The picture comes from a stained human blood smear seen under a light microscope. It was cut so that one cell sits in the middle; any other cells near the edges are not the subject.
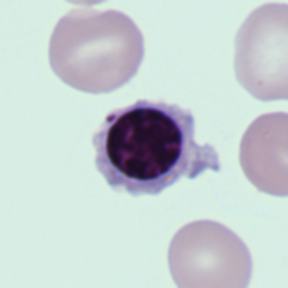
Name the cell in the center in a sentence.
The cell featured at the centre of this crop is an erythroblast.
